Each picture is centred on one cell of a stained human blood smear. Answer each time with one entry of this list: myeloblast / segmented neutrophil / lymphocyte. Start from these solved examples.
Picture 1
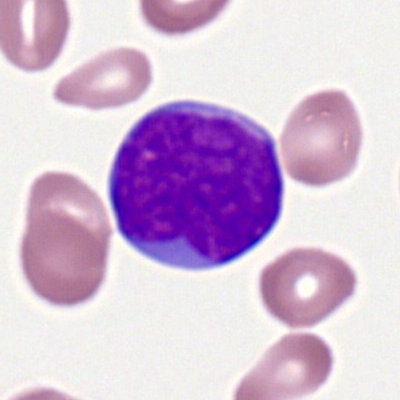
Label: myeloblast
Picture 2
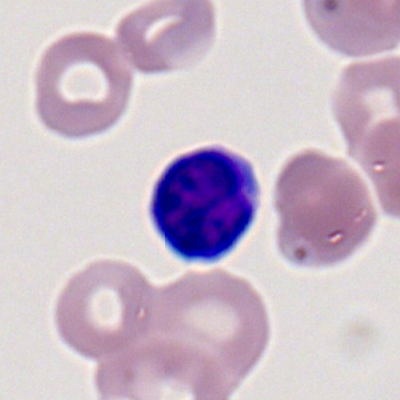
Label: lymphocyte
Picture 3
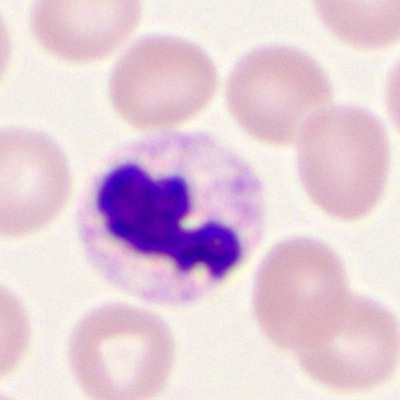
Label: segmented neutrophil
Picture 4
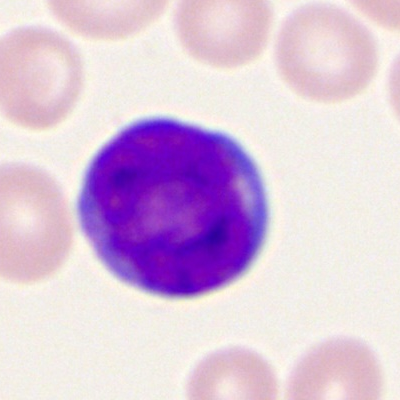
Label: myeloblast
